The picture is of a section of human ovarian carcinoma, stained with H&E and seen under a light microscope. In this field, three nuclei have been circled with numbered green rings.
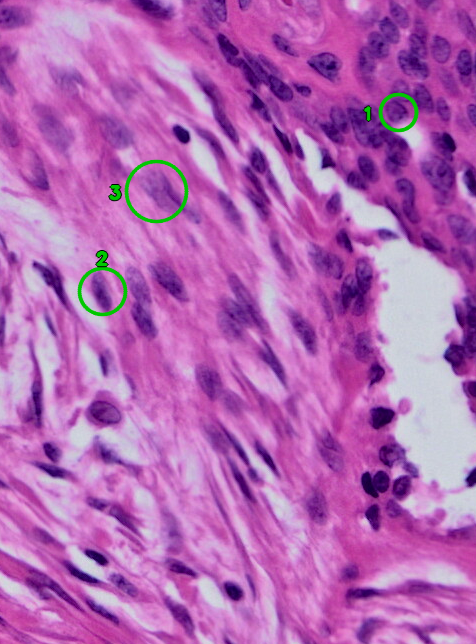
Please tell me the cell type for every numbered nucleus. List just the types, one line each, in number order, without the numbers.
carcinoma cell
fibroblast
fibroblast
